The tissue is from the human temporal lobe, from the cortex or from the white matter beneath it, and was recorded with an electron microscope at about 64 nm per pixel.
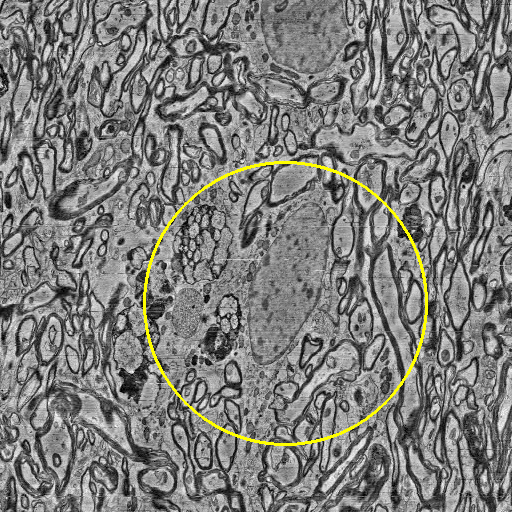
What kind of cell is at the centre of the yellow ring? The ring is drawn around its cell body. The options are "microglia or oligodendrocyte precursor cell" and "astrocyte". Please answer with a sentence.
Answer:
The yellow ring marks the cell body of an astrocyte.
